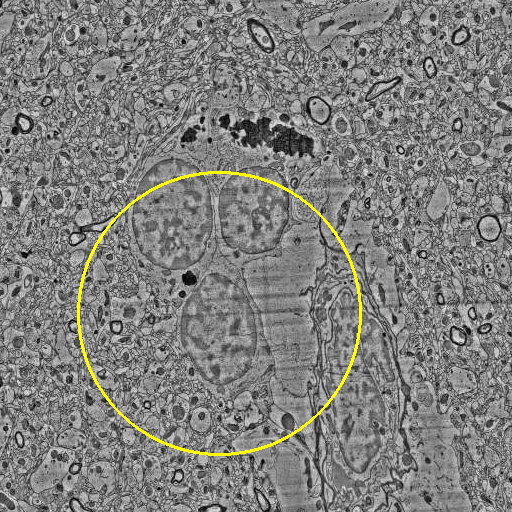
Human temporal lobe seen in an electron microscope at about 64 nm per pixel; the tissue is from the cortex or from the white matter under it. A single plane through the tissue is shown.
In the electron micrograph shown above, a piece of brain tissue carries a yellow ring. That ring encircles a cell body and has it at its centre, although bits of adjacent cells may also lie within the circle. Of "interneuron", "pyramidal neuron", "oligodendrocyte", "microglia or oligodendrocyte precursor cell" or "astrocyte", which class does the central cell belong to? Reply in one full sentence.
The cell body at the centre of the yellow ring belongs to an oligodendrocyte.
